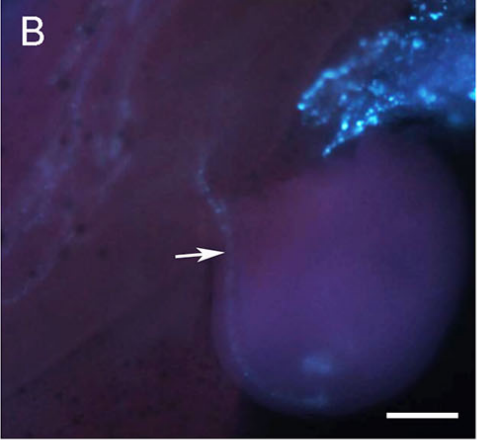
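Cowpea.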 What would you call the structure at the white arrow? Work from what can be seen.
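A faint thin fluorescent line runs to the tip of a rounded ovule. The answer: Pollen tube.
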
